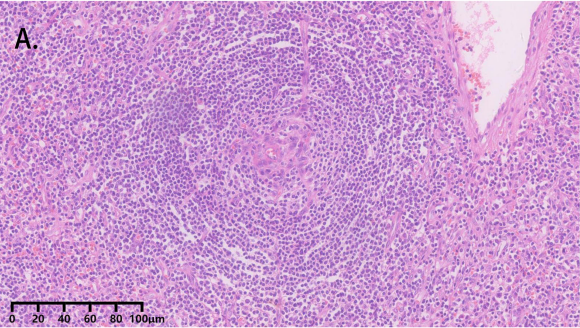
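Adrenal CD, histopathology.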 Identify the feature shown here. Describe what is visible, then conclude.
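A small central germinal center is crossed by a pink hyalinized vessel. Small dark lymphocytes surround it in concentric rings.
Answer: lollipop follicles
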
